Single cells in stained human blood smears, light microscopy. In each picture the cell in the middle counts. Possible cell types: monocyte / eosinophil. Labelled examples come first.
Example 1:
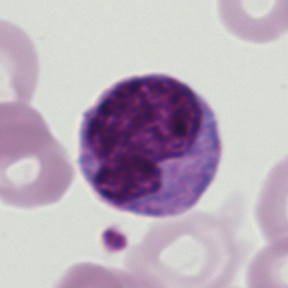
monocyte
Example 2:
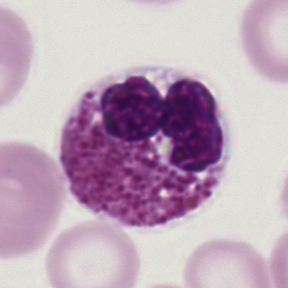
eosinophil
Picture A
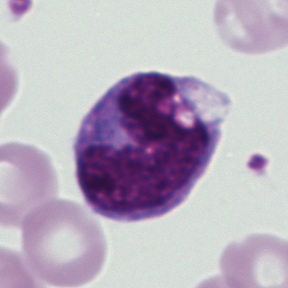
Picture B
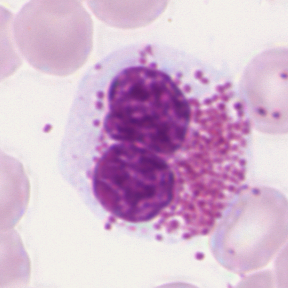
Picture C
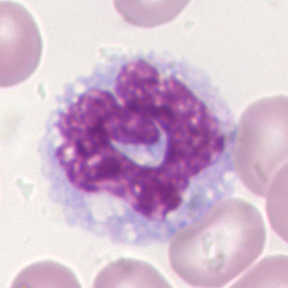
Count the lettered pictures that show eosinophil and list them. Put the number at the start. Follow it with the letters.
1, namely B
